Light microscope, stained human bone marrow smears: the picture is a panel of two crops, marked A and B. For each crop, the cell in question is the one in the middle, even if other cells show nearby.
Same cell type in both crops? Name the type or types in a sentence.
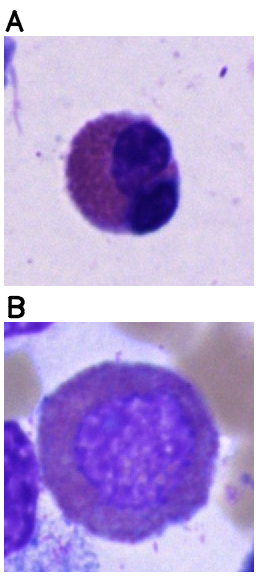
Yes, the middle cells in both crops are indeed eosinophils.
